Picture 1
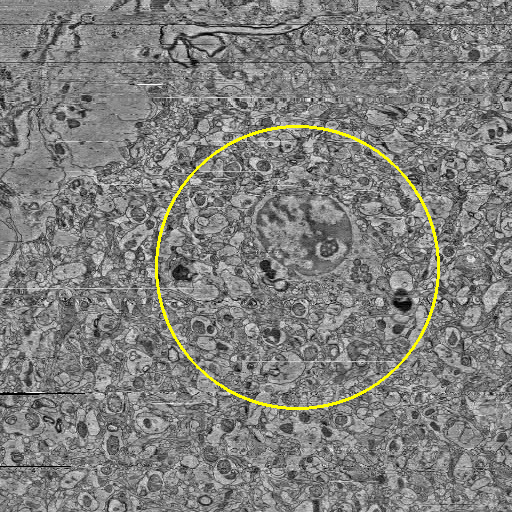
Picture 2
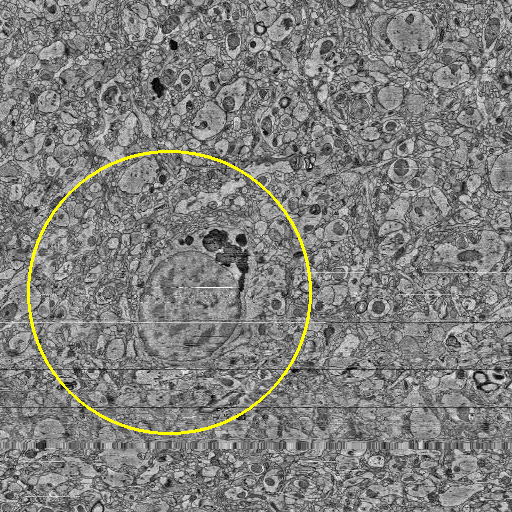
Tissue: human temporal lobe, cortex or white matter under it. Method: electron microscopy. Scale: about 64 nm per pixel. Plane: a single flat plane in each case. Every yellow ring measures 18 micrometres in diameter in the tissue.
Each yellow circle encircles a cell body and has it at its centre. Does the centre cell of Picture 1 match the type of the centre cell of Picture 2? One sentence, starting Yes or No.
Yes, the cell centred in Picture 1 and the one in Picture 2 share a type.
